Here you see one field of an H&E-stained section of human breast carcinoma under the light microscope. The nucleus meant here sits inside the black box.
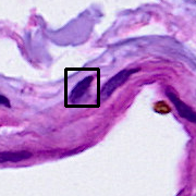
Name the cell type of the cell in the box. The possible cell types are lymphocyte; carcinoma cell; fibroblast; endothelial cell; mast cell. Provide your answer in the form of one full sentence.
In this preparation, the cell in the box is a fibroblast.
